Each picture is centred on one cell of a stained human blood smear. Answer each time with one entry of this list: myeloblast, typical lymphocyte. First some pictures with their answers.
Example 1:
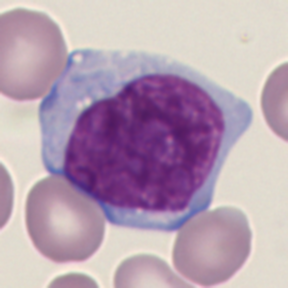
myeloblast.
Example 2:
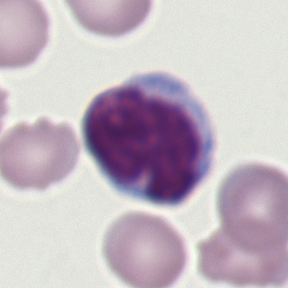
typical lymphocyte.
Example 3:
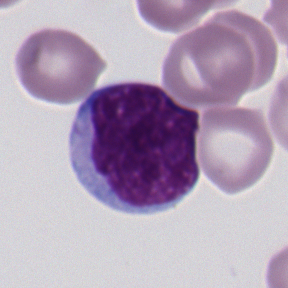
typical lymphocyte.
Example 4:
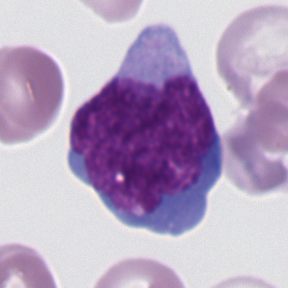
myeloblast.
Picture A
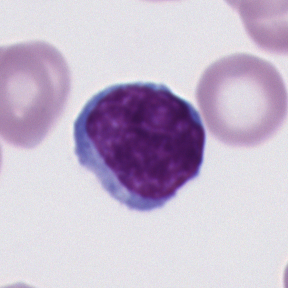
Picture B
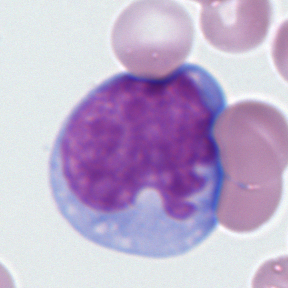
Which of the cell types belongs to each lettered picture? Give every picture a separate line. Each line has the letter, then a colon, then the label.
A: typical lymphocyte.
B: myeloblast.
